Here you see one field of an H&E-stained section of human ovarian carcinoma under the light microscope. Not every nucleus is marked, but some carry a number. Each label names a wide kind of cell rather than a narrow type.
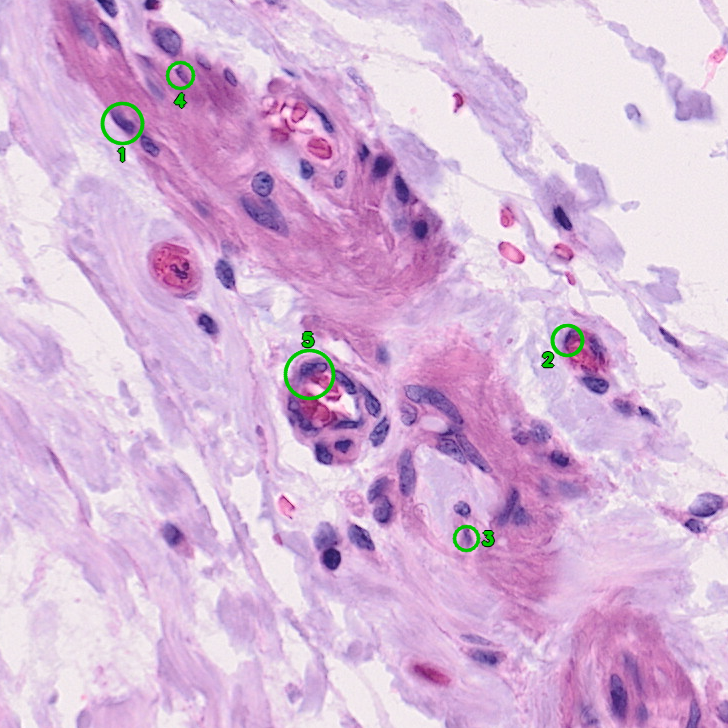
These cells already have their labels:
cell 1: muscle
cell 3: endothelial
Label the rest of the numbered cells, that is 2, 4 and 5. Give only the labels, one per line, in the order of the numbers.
endothelial
muscle
endothelial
